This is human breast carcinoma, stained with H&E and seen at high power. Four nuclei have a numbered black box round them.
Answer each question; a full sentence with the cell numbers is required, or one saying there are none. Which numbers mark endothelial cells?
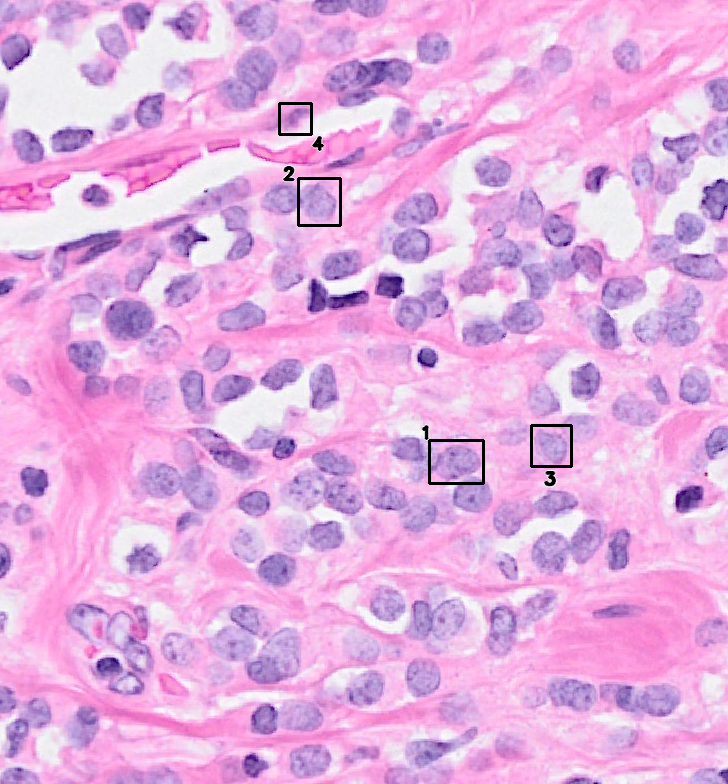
Cell 4 is the only numbered cell that is an endothelial cell.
